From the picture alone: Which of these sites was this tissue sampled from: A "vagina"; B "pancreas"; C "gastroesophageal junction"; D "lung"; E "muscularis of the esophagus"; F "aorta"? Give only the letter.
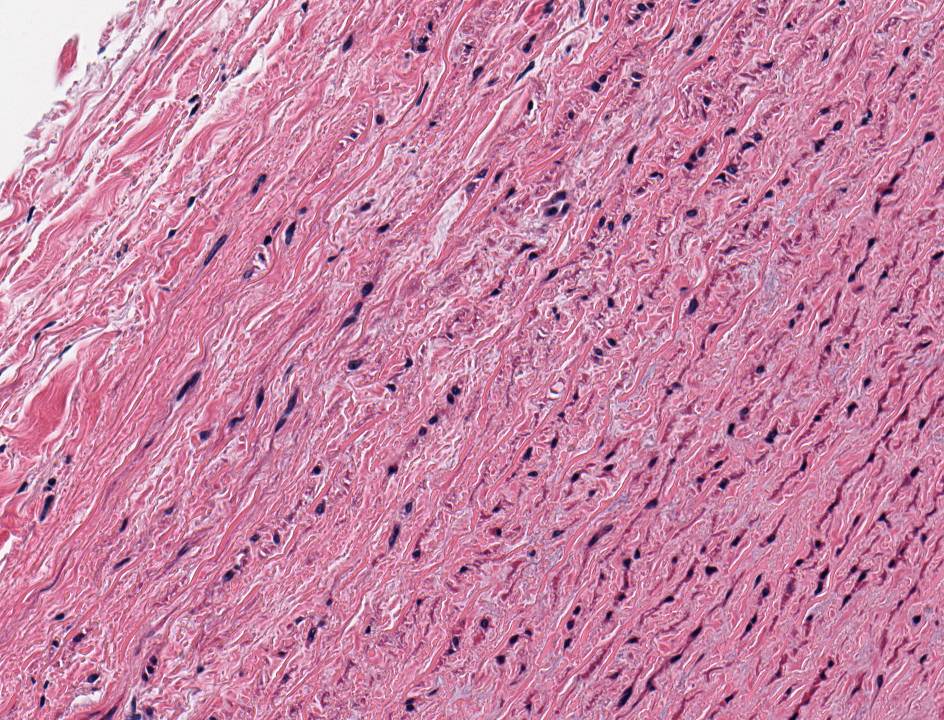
F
